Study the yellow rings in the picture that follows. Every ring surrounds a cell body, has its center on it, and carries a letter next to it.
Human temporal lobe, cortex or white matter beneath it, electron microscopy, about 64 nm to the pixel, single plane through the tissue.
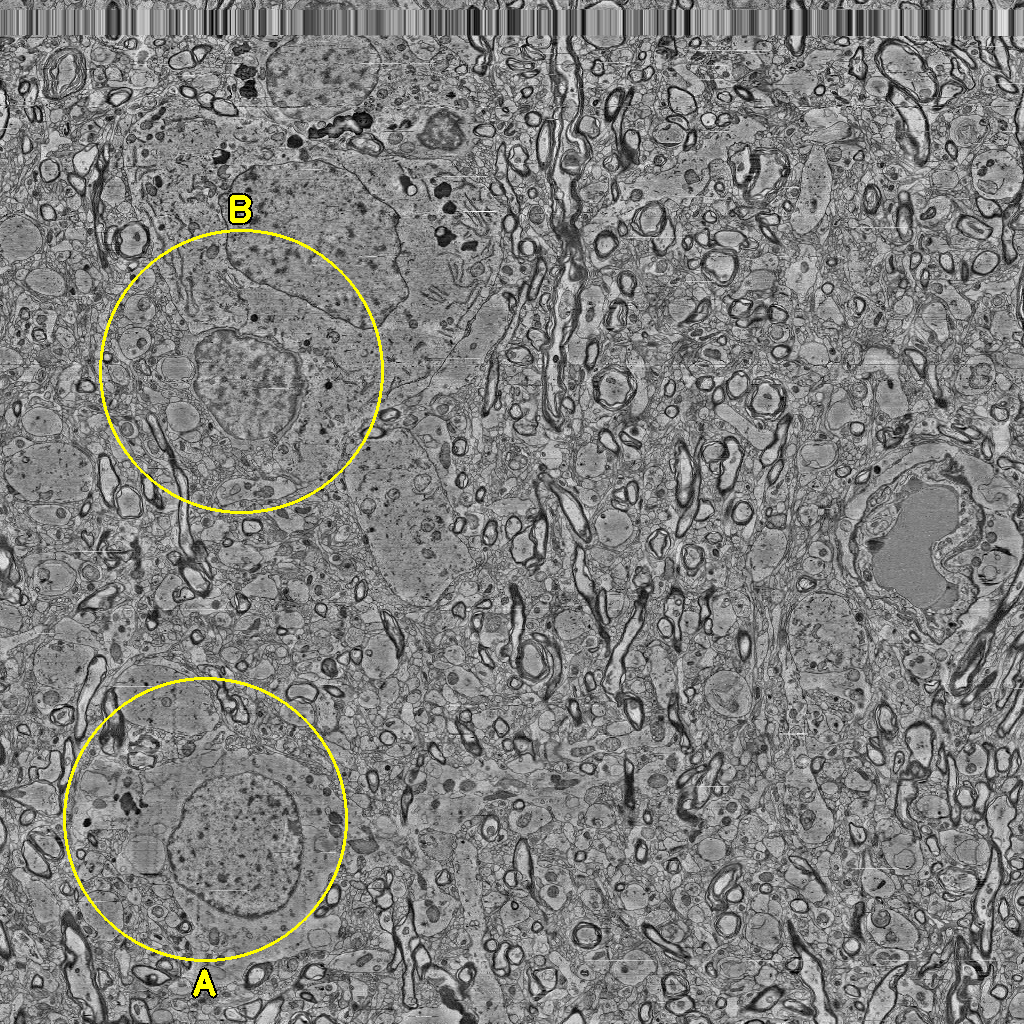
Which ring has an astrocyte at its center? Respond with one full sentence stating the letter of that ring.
The ring centered on the cell asked for carries the letter A.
